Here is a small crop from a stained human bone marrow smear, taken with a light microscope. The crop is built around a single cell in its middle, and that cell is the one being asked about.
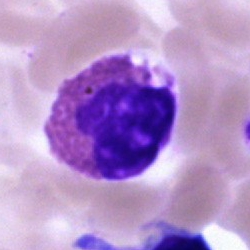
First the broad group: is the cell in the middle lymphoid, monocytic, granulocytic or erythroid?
granulocytic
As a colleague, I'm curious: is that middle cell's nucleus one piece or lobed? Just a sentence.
The nucleus is one compact mass, round, oval or kidney-shaped in outline.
